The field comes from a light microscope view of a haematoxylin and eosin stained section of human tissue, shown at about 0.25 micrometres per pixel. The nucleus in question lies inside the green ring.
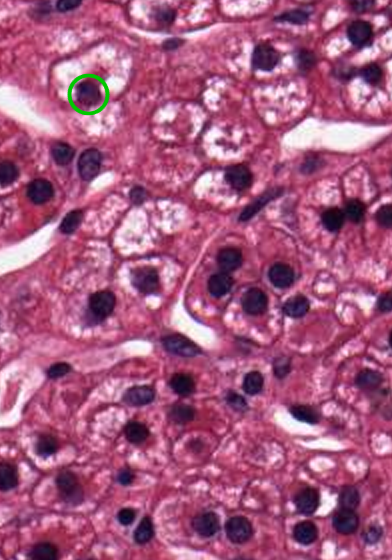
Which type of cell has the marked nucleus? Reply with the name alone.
adrenal cortical cell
